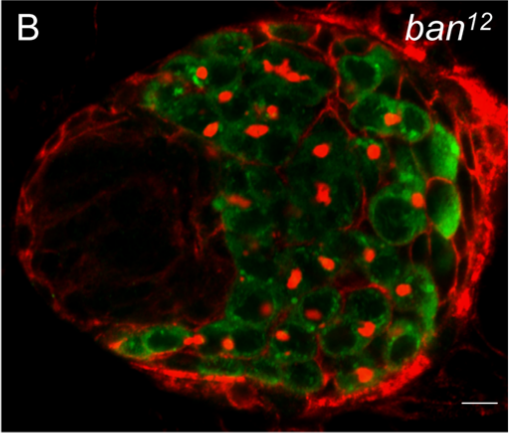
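Many contain a red fusome, some small and round, others elongated or irregular in shape. A red line bounds the whole organ.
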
